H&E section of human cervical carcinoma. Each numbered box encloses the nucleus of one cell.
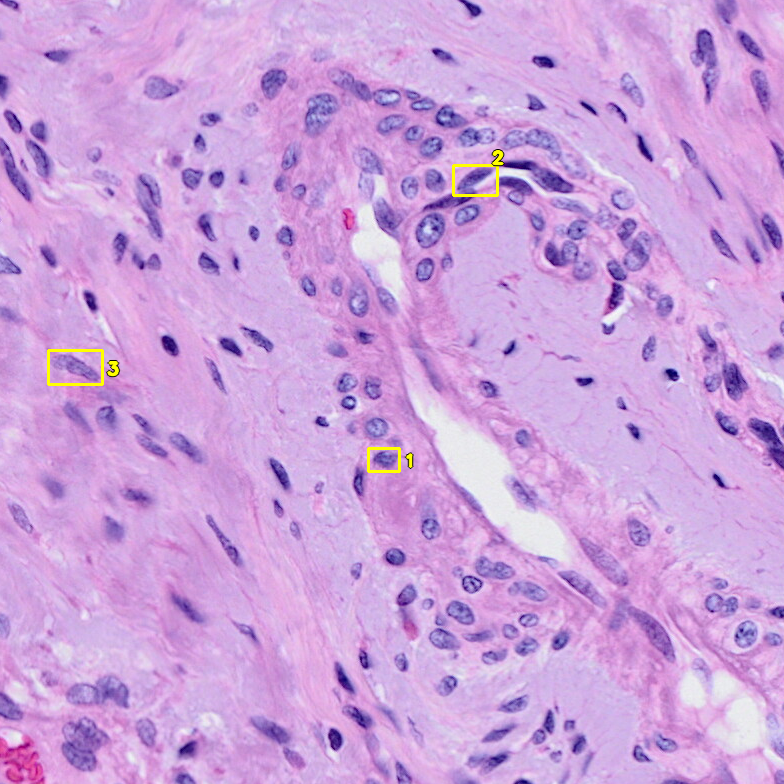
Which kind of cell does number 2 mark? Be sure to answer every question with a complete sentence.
Heads up, the cell numbered 2 is an endothelial cell.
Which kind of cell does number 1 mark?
Number 1 is placed on a smooth muscle cell here.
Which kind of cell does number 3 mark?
It is as a smooth muscle cell that the cell numbered 3 is identified.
